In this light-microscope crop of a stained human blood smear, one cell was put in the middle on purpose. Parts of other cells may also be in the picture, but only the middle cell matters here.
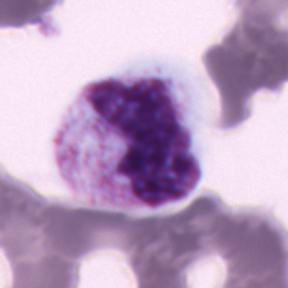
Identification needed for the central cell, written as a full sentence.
The target cell in the middle of the crop is a segmented neutrophil.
